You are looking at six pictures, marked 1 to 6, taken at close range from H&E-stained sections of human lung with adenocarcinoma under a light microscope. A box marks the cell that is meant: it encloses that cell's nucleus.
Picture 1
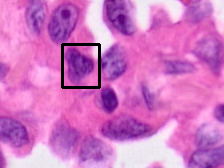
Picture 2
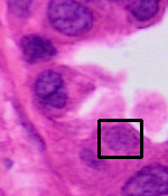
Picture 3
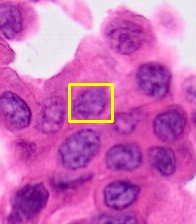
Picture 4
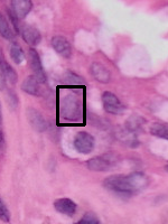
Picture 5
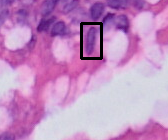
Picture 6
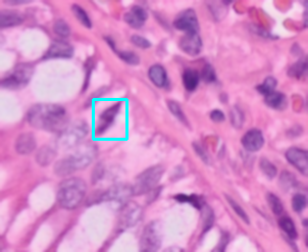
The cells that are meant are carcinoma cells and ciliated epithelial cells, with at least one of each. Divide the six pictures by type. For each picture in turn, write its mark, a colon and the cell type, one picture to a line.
1: carcinoma cell
2: carcinoma cell
3: carcinoma cell
4: ciliated epithelial cell
5: ciliated epithelial cell
6: ciliated epithelial cell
